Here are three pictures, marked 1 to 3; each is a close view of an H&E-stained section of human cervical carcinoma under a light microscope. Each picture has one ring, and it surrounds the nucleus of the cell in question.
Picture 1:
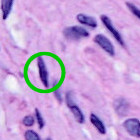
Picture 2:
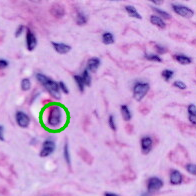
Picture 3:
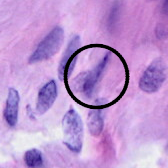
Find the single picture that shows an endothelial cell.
2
